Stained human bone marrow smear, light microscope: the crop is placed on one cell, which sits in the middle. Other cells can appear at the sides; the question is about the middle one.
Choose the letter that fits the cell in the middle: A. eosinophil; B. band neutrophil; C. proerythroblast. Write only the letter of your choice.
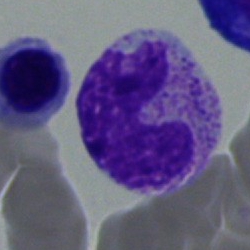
B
